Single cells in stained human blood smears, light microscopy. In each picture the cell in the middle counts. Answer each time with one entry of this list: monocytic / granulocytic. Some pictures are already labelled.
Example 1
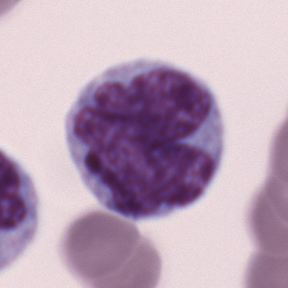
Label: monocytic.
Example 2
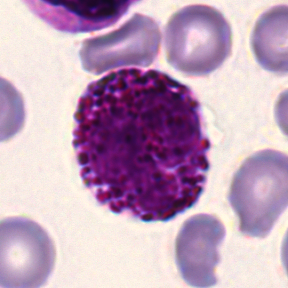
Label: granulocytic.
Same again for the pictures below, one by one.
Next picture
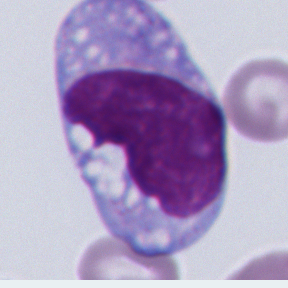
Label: monocytic.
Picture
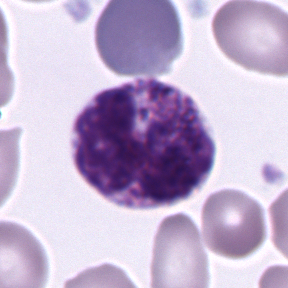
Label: granulocytic.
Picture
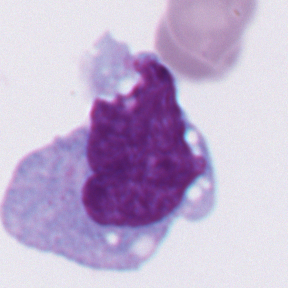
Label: monocytic.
